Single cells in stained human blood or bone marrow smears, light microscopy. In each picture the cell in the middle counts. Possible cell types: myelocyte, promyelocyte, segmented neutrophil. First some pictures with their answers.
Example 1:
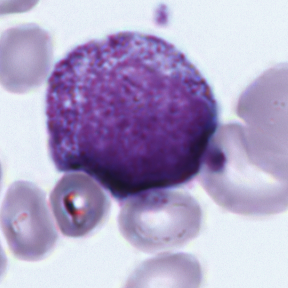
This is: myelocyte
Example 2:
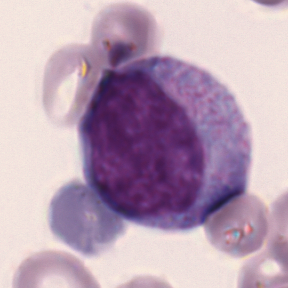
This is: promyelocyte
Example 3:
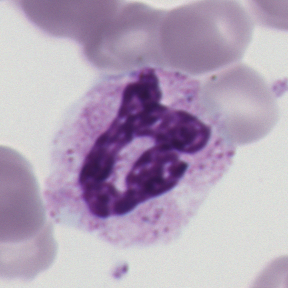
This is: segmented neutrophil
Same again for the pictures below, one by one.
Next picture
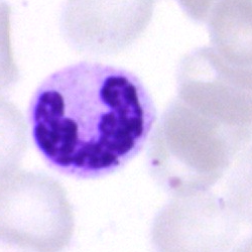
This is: segmented neutrophil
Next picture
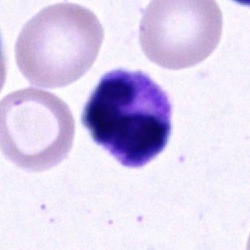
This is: segmented neutrophil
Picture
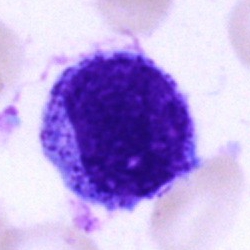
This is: promyelocyte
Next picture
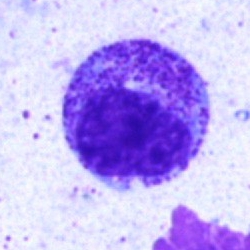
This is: myelocyte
